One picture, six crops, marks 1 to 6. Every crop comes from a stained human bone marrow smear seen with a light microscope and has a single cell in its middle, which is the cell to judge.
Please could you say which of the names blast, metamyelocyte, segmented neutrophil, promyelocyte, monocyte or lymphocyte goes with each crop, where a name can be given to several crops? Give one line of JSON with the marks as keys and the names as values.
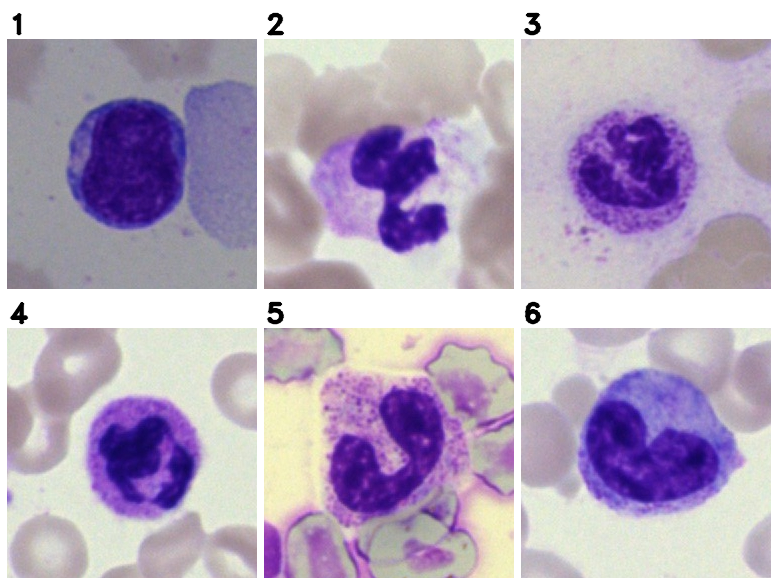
{"1": "blast", "2": "segmented neutrophil", "3": "segmented neutrophil", "4": "segmented neutrophil", "5": "segmented neutrophil", "6": "monocyte"}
